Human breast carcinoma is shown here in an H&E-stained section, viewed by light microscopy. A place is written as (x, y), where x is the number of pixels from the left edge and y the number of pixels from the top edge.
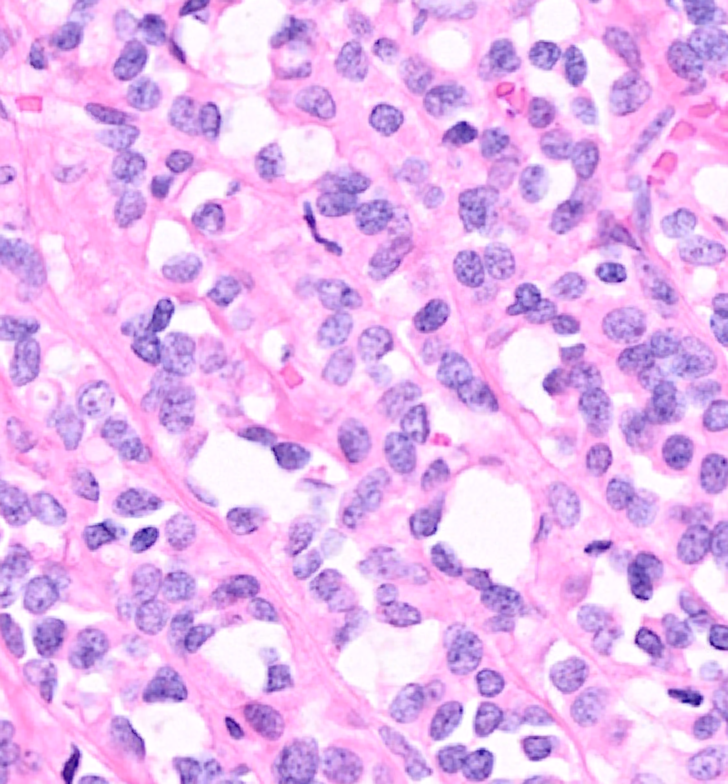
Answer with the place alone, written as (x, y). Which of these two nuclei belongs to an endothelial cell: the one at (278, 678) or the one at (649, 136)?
(649, 136)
